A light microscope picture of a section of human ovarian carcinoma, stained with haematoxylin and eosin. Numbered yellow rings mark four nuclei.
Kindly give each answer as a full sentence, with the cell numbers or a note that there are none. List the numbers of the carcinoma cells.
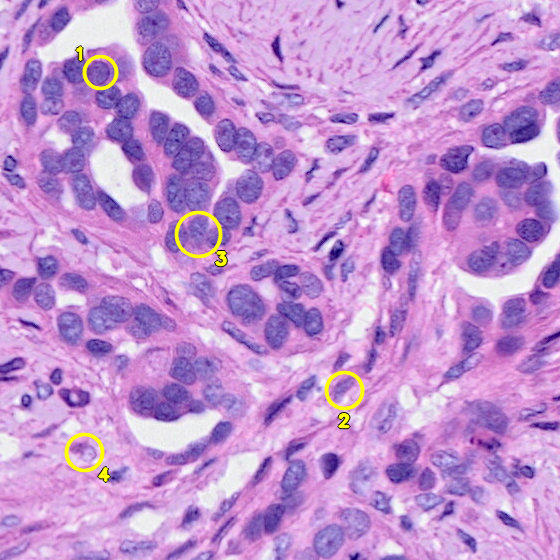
The cells assigned the numbers 1 and 3 are carcinoma cells.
